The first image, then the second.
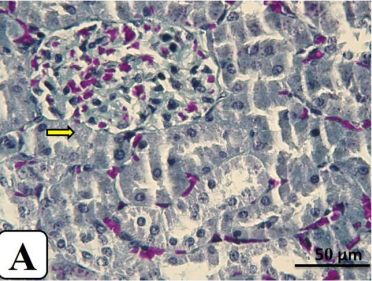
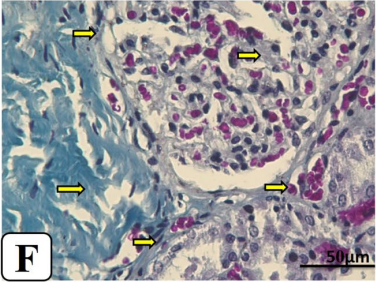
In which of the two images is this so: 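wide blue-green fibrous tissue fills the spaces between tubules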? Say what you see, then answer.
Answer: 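Second image: a broad wavy blue-green fibrous area and blue bands around the corpuscle. First image: tubules lie close together with only faint thin blue lines between them. On this evidence: the second image.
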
